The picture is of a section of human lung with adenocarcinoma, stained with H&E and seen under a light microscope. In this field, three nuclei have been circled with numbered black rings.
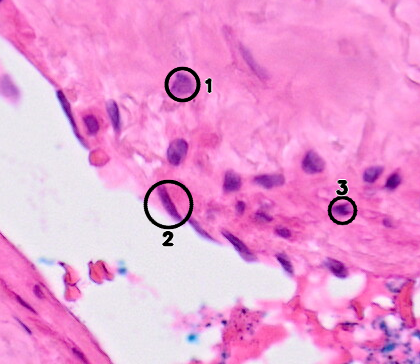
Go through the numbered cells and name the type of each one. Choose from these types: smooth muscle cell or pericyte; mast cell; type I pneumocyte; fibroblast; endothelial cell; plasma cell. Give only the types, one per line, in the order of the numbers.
fibroblast
endothelial cell
smooth muscle cell or pericyte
